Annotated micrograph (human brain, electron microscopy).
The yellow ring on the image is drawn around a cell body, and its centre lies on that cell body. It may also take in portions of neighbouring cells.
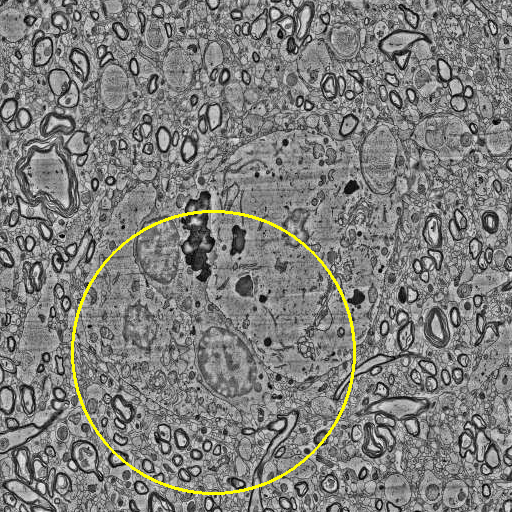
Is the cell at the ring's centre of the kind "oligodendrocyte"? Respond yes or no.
Yes, it is of the named kind.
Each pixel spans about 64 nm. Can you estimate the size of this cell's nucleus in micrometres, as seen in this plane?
The nucleus comes to roughly 5 by 3 micrometres in this plane.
